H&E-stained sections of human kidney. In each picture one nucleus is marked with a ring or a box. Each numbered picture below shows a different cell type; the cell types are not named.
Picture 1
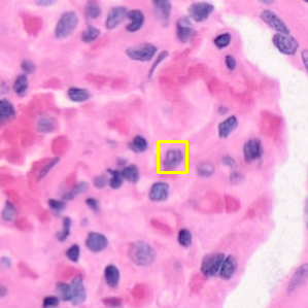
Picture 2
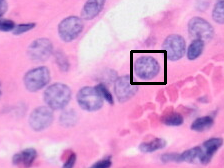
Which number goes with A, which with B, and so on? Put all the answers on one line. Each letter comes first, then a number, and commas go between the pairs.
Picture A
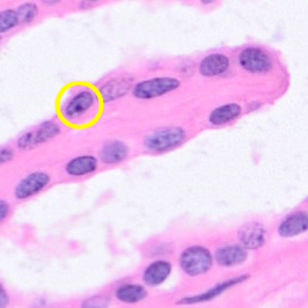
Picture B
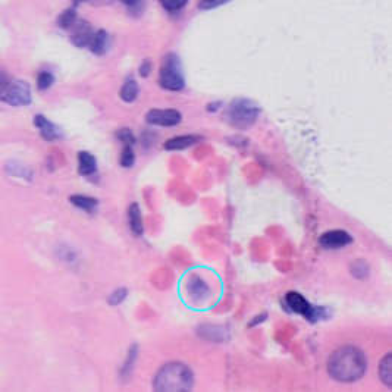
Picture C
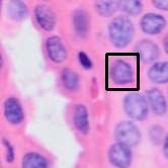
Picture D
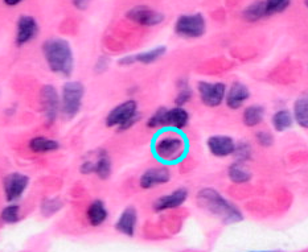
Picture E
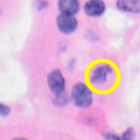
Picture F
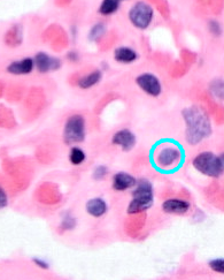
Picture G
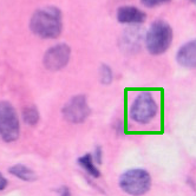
A 2, B 1, C 2, D 1, E 2, F 1, G 2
